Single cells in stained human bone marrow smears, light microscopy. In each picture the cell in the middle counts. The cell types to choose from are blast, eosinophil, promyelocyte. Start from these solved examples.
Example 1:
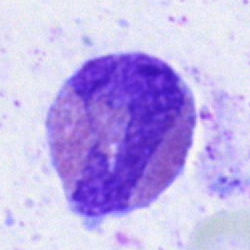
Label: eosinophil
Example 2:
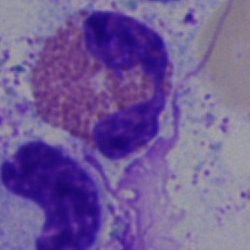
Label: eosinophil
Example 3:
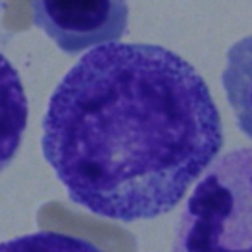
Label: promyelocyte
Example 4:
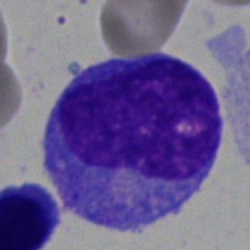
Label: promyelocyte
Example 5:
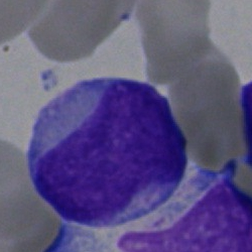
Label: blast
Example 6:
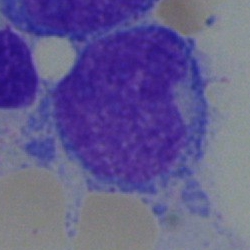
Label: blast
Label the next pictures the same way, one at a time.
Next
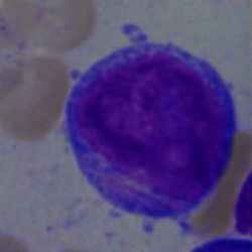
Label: blast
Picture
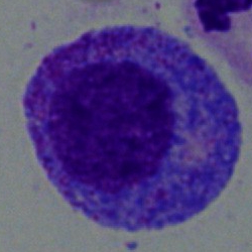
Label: promyelocyte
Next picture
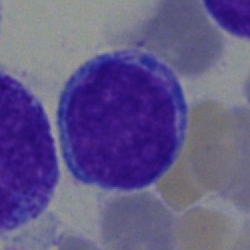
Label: blast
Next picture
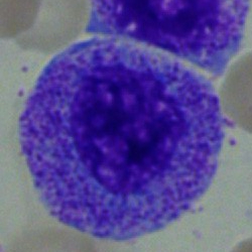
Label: promyelocyte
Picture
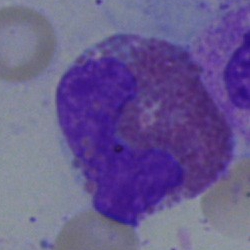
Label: eosinophil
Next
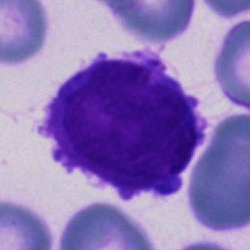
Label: blast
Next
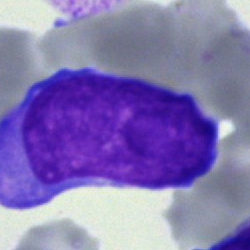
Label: blast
